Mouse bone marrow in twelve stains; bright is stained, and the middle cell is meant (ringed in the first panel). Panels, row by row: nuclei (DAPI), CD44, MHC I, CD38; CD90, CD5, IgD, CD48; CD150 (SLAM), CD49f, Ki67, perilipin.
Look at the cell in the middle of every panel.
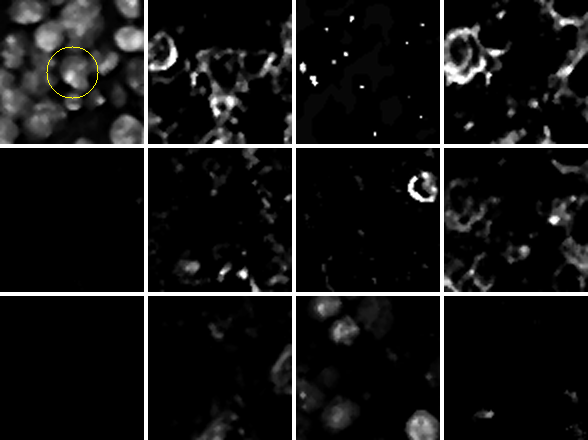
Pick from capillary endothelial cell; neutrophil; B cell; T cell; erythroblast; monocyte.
neutrophil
